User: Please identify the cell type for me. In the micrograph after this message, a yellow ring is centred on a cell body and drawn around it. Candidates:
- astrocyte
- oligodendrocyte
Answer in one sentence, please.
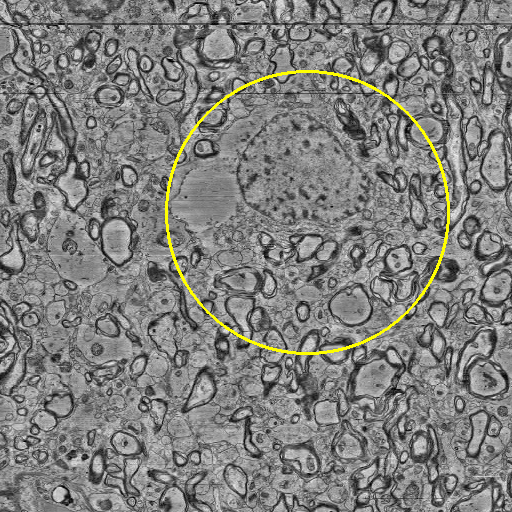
The ring is drawn around the cell body of an astrocyte.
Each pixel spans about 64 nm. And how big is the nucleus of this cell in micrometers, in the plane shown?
In this plane the ringed cell's nucleus is roughly 8 micrometres across.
